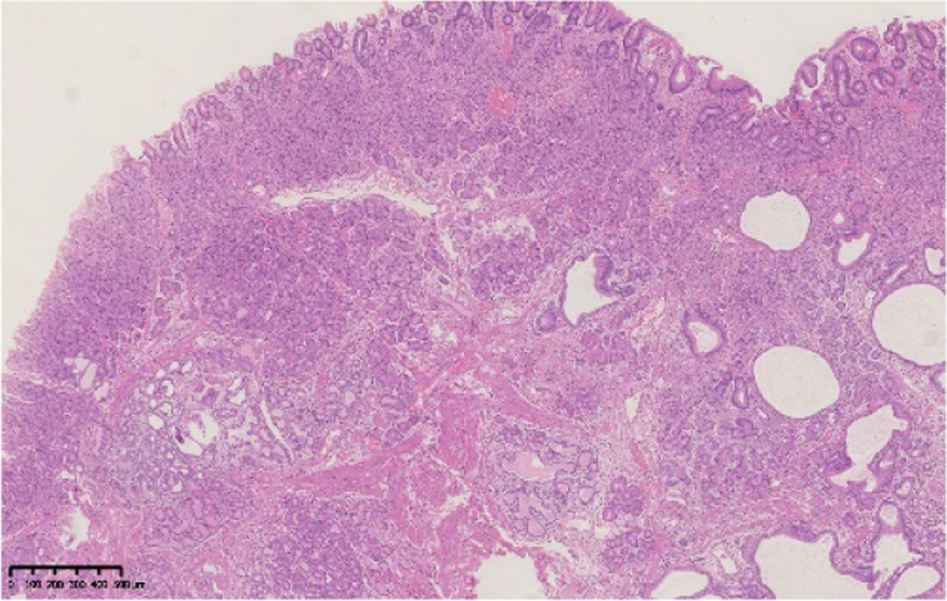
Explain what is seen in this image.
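At low magnification a lesion of glands grows downward beneath the surface mucosa into the submucosa. The glands are packed in purple-stained clusters divided by pink fibromuscular strands. Many glands are dilated into empty rounded or irregular spaces of varying sizes, most of them toward the right side. The surface mucosa with its glandular pits lies along the top edge.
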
